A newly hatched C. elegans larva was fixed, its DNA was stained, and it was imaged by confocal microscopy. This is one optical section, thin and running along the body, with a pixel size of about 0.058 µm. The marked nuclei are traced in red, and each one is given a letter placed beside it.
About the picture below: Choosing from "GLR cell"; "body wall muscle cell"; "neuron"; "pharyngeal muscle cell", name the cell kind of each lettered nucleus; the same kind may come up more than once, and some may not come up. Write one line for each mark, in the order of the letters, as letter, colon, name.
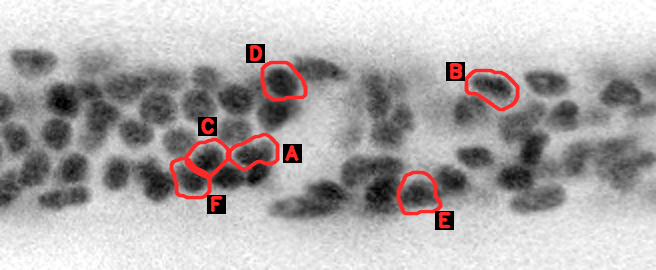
A: GLR cell
B: body wall muscle cell
C: neuron
D: neuron
E: body wall muscle cell
F: neuron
